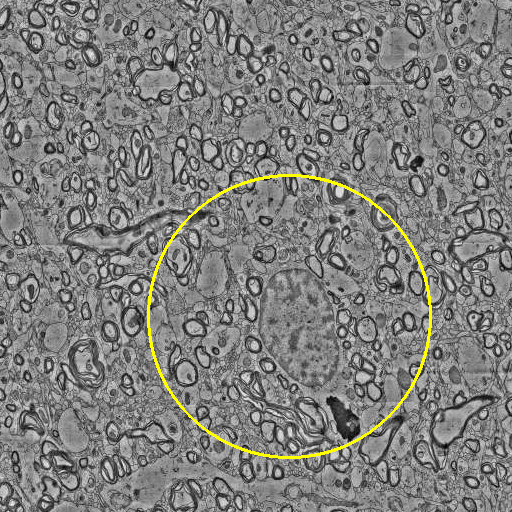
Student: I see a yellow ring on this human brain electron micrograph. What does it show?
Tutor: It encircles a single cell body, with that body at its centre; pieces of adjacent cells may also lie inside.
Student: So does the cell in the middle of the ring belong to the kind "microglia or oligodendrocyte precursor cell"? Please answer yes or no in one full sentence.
No, that cell at the centre of the ring is one of another kind.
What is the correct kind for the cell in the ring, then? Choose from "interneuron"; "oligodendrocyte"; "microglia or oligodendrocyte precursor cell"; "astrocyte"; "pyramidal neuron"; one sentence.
Instead, what sits at the centre of the ring is an oligodendrocyte.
